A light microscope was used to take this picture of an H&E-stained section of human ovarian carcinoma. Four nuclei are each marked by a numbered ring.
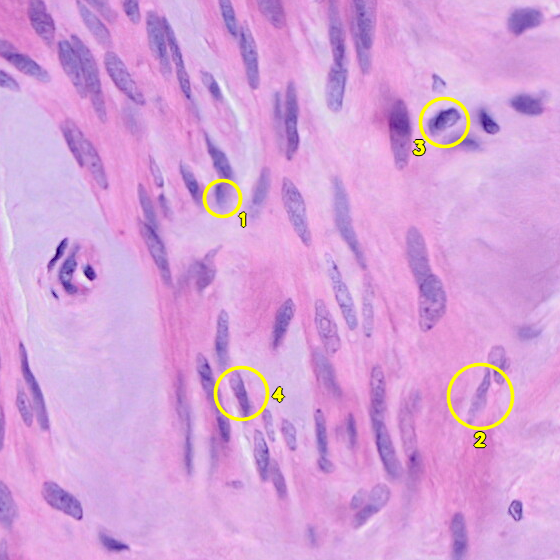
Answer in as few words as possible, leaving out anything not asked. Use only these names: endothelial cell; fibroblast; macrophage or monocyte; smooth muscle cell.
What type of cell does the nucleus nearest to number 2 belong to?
smooth muscle cell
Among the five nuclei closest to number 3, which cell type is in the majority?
fibroblast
